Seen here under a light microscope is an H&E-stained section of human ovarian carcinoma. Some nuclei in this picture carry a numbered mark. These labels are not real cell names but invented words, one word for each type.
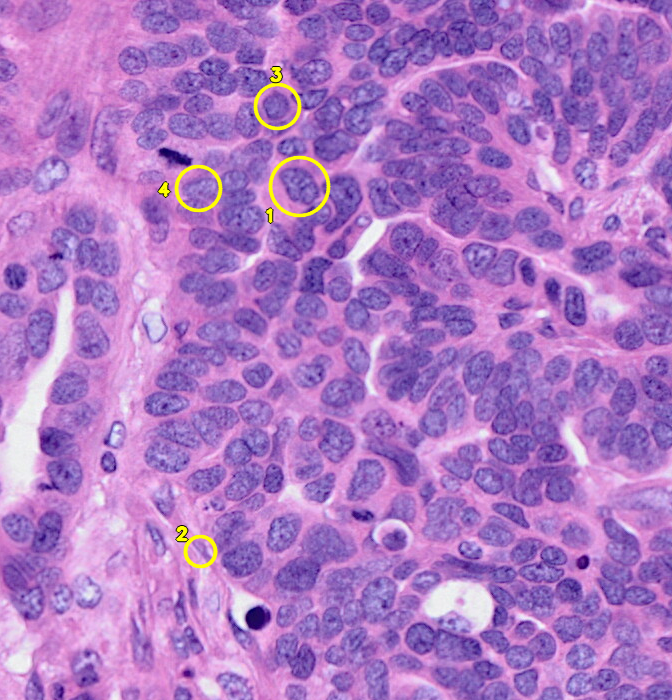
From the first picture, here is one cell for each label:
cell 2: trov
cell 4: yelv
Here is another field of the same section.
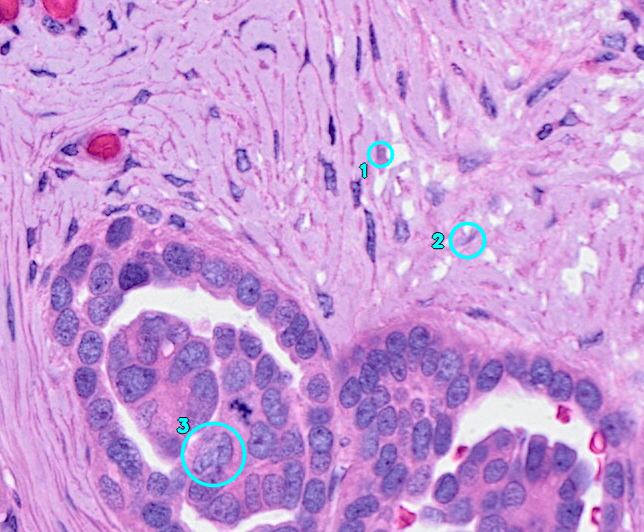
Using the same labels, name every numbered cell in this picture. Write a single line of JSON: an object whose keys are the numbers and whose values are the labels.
{"1": "trov", "2": "trov", "3": "yelv"}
